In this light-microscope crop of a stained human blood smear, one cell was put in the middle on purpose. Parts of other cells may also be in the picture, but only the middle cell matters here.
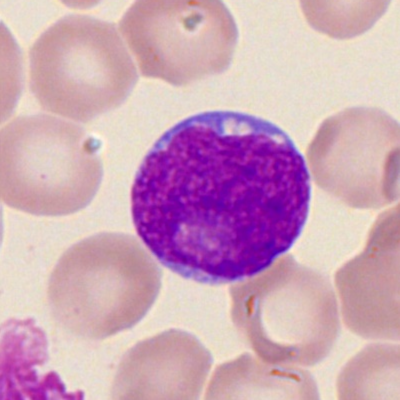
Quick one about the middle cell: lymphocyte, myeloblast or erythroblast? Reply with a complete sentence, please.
The cell in the middle of this crop is a myeloblast.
